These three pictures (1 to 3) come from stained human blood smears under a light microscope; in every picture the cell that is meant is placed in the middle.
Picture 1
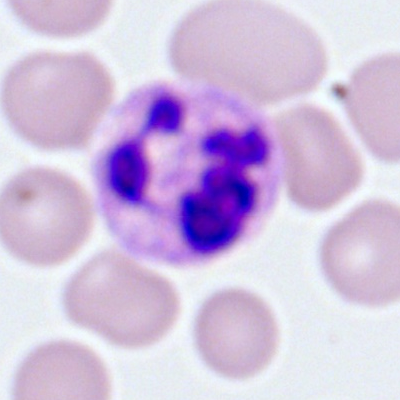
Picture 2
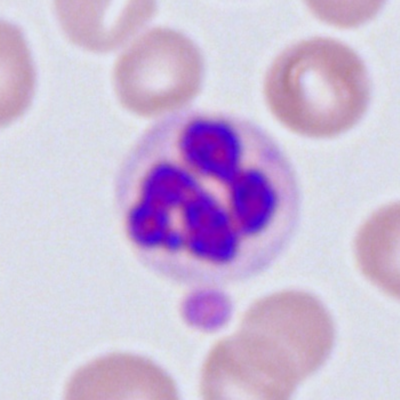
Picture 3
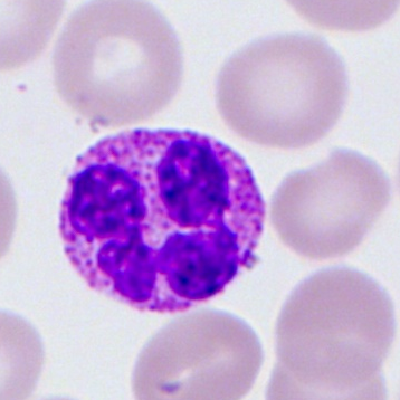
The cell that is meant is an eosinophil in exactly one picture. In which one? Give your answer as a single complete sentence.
Picture 3 shows the eosinophil.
